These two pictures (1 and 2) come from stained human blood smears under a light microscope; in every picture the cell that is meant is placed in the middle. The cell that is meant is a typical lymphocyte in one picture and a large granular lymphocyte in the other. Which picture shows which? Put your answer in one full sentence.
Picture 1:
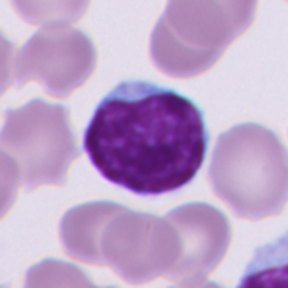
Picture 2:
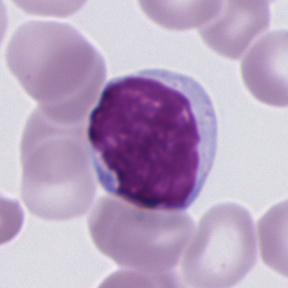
Picture 1 is of a typical lymphocyte, and picture 2 is of a large granular lymphocyte.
